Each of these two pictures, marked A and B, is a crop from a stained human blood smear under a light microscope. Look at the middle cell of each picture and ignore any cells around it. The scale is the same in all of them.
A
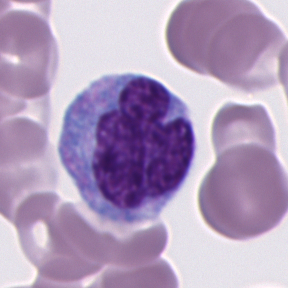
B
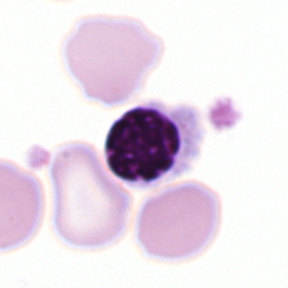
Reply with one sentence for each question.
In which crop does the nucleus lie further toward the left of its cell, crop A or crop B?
The nucleus in crop B lies further toward the left of its cell.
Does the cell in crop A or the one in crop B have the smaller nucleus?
The nucleus in crop B is smaller; the one in crop A has about 2.5 times its area.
